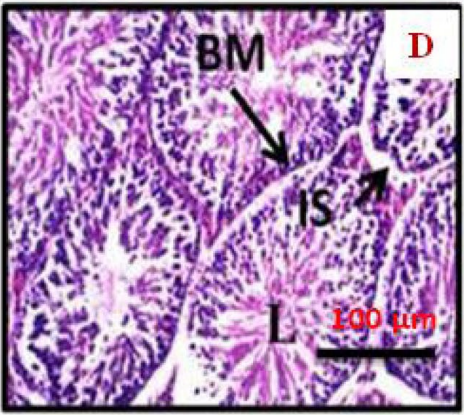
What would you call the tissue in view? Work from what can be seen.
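Closely packed round tubule profiles with stratified cell lining. Pink, tail-like material radiating into central lumens. Narrow spaces between adjacent tubules. The answer: testis.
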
